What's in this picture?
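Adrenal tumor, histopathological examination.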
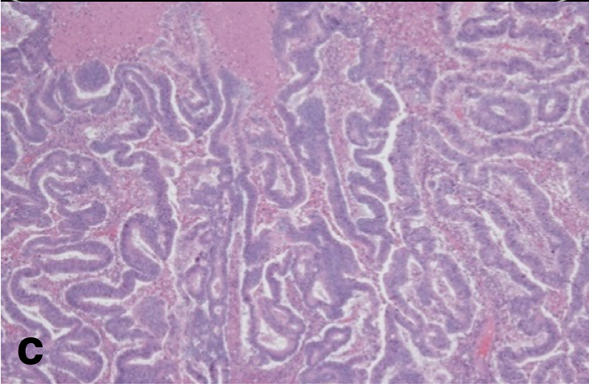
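This is an adenocarcinoma made of crowded, branching glands and papillary folds lined by tall columnar epithelial cells. Pink hemorrhagic material and scant stroma lie between the glands.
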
